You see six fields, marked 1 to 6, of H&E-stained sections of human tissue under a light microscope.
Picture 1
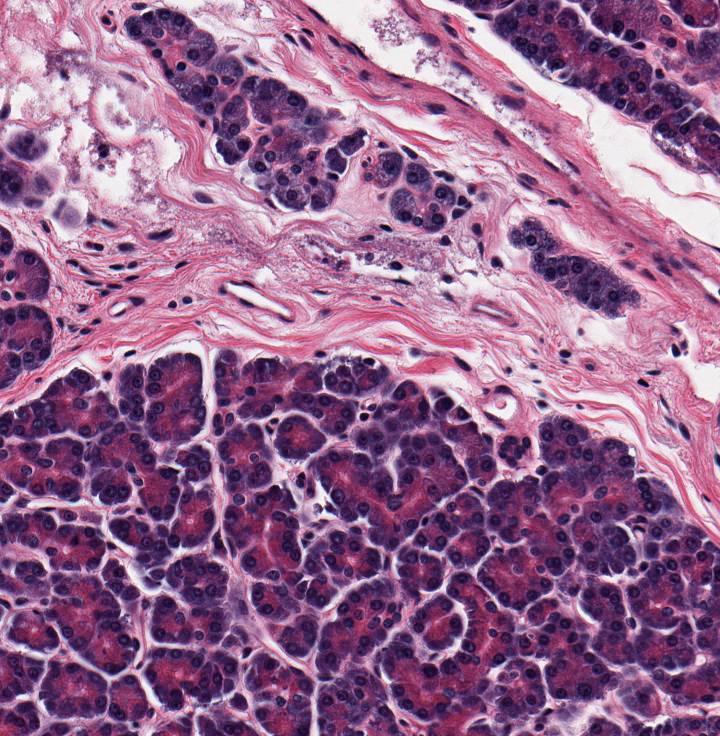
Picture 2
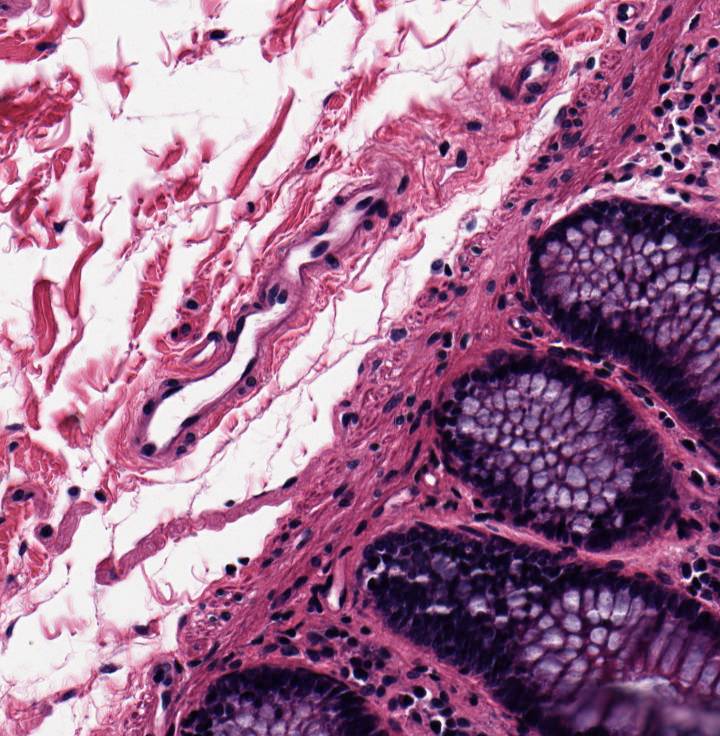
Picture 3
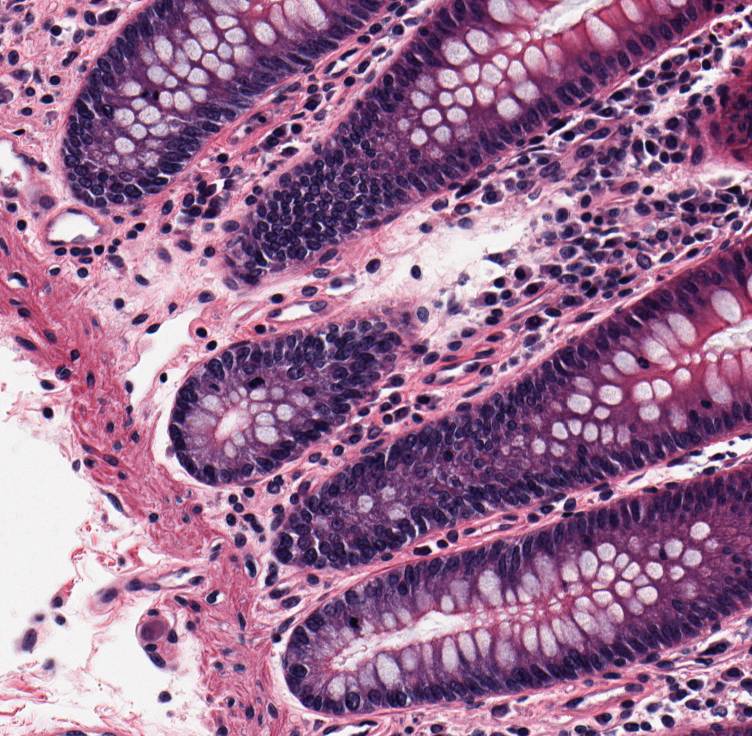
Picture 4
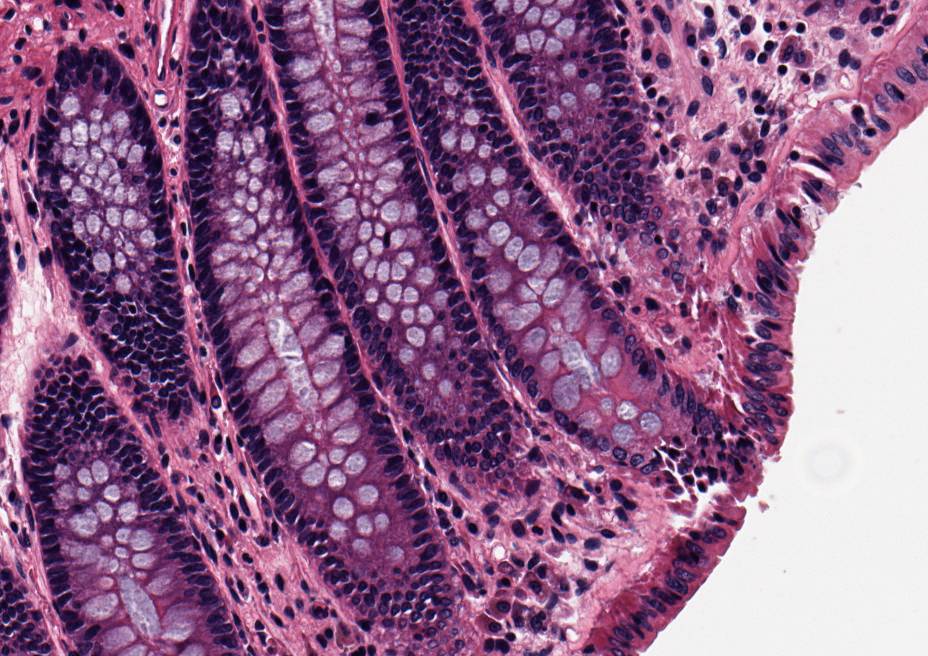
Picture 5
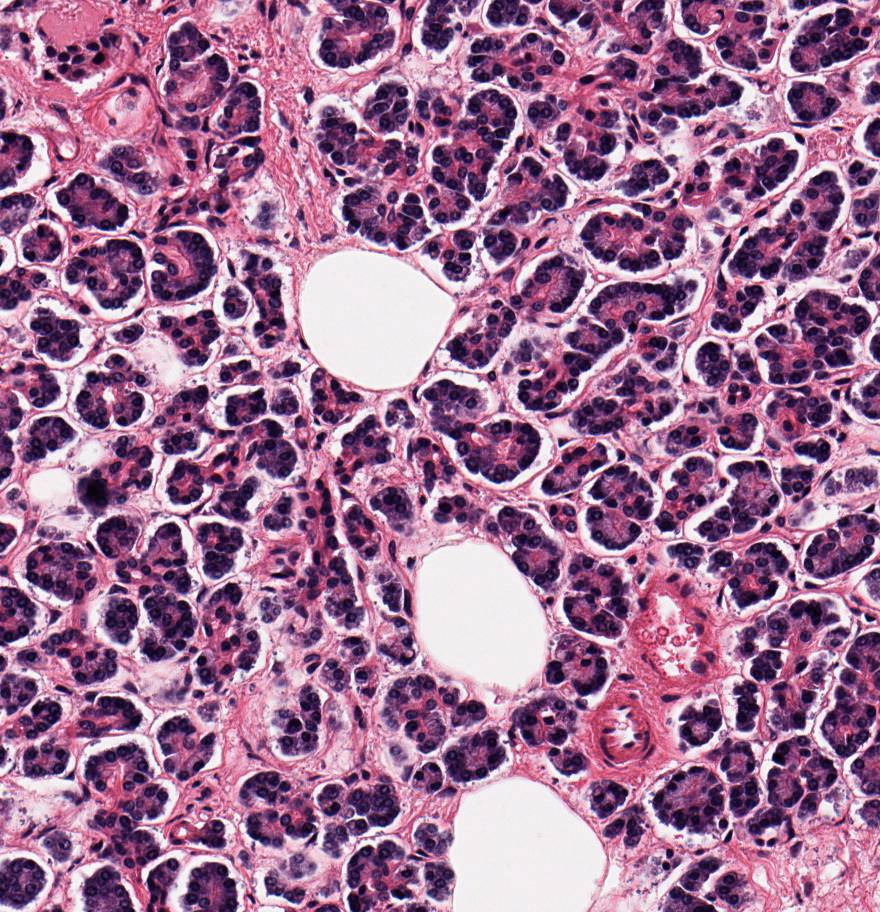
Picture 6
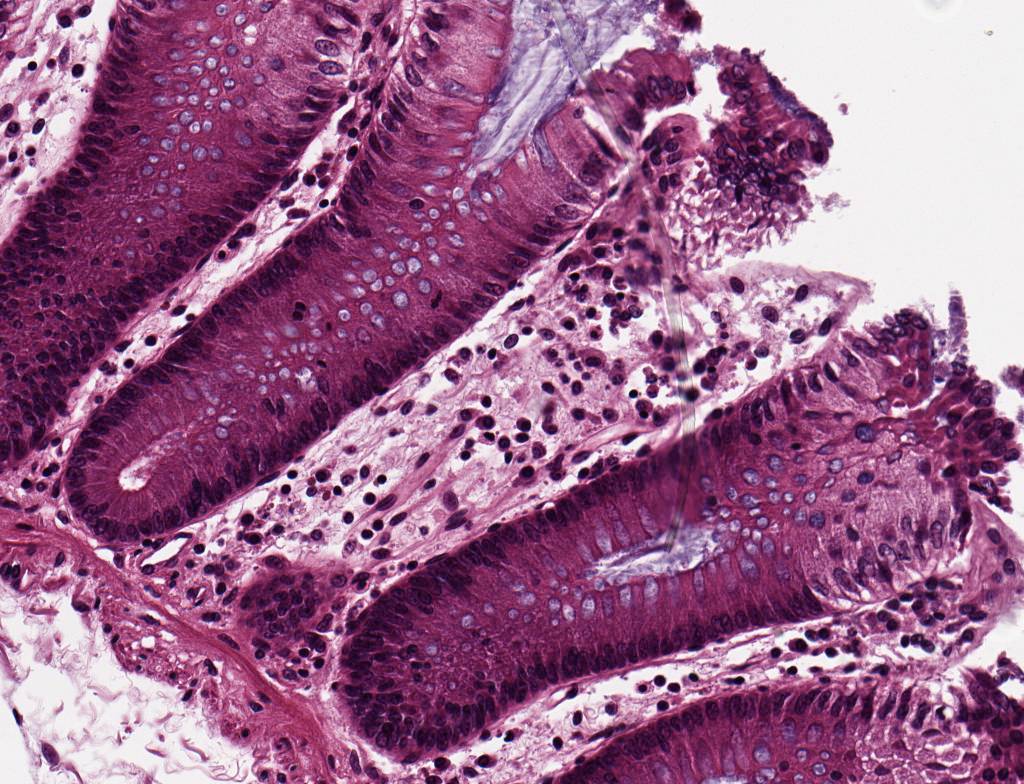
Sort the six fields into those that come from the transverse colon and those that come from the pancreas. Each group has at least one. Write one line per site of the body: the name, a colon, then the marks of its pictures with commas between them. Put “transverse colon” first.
transverse colon: 2, 3, 4, 6
pancreas: 1, 5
